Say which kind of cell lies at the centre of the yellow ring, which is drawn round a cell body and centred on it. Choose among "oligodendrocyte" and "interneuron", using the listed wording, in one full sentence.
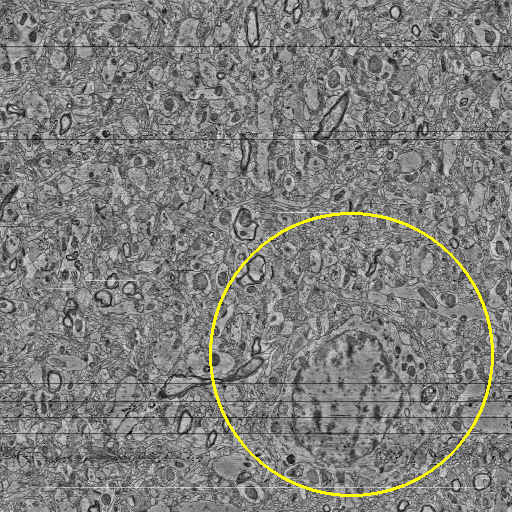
Going by the list, the cell at the yellow ring's centre is an interneuron.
